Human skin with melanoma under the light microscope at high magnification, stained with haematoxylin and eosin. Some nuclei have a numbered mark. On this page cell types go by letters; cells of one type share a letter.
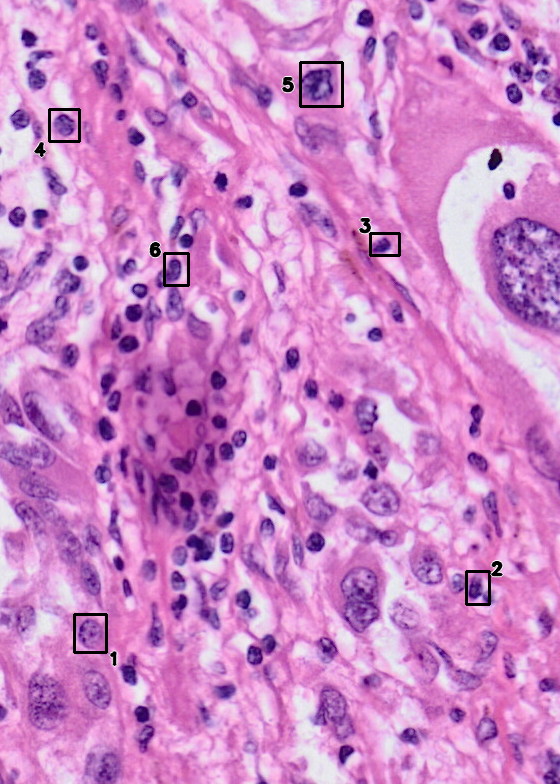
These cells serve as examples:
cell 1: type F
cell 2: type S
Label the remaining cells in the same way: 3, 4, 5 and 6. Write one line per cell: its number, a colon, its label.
3: type S
4: type S
5: type F
6: type S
